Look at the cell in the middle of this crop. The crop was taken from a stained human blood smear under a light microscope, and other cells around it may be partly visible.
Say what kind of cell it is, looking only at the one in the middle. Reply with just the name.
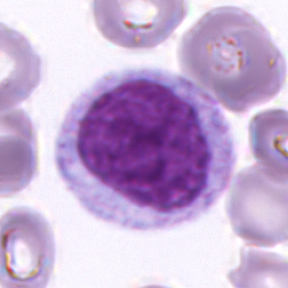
myelocyte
